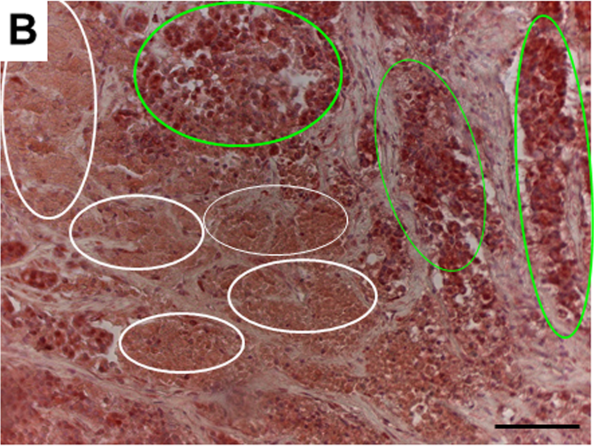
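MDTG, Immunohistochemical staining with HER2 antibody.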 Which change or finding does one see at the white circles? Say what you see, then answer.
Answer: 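Inside the white circles the cells are paler and their outlines indistinct.
Conclusion: tumor cell death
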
